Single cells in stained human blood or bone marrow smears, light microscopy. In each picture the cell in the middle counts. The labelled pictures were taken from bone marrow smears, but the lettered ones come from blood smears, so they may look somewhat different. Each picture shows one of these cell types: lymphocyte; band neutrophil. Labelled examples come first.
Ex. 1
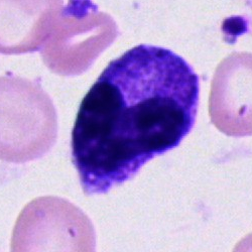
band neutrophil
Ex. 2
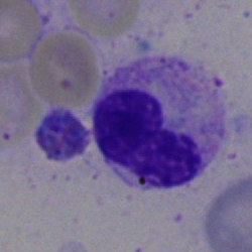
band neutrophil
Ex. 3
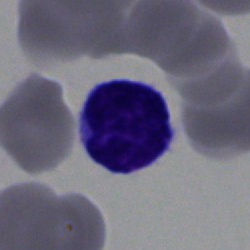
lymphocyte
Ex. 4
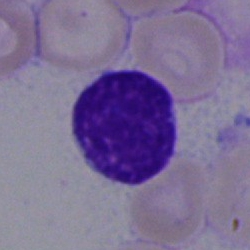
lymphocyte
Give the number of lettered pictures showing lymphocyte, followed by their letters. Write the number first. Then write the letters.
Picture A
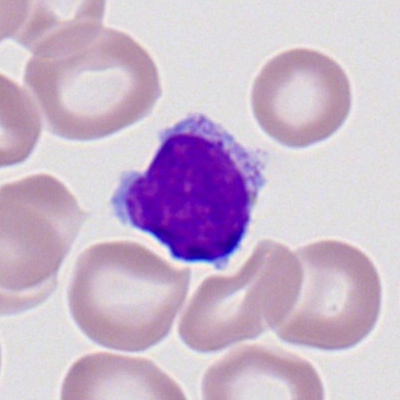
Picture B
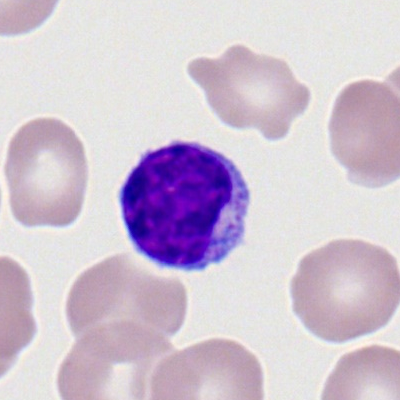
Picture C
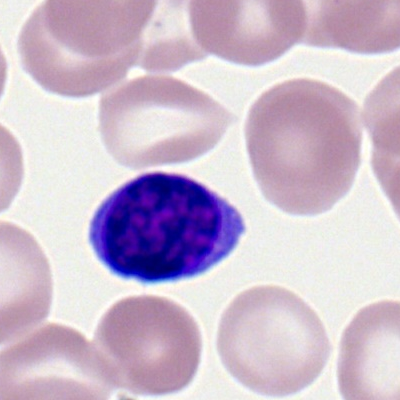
3, namely A, B, C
